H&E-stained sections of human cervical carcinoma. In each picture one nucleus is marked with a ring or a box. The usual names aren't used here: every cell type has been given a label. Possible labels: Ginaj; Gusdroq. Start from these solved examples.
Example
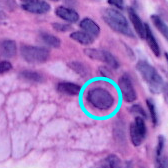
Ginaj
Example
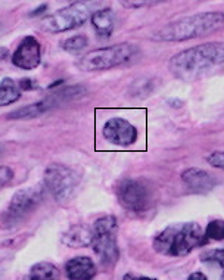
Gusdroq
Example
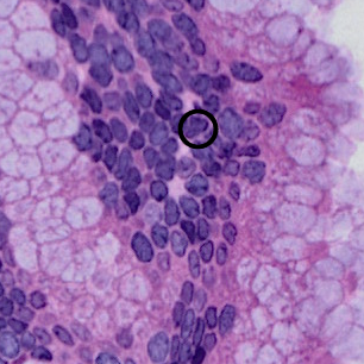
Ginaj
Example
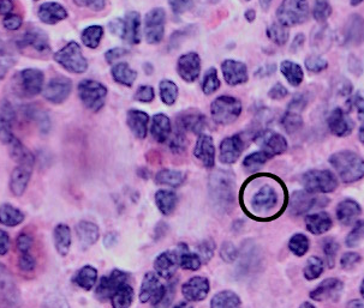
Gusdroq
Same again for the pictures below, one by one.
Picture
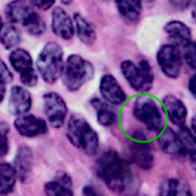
Gusdroq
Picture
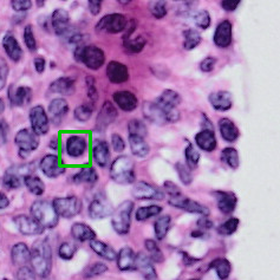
Gusdroq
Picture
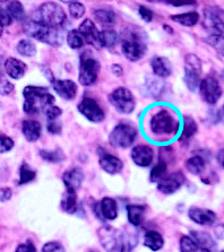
Gusdroq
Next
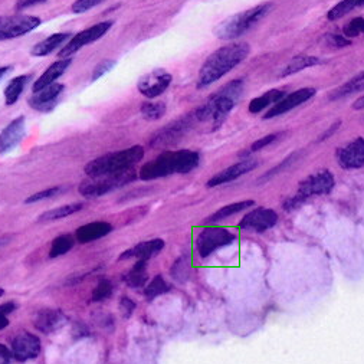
Ginaj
